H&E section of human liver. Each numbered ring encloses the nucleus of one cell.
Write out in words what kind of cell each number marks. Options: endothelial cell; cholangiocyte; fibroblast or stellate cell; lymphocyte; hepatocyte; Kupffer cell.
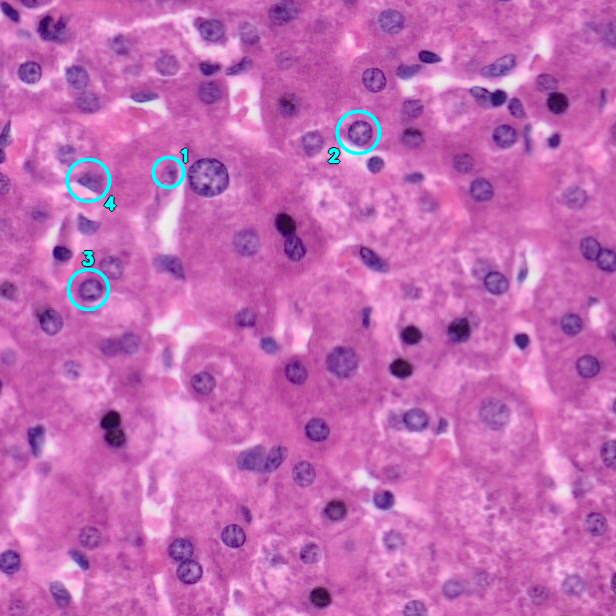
Cell 1 is a Kupffer cell. Cells 2 and 3 are hepatocytes. Cell 4 is an endothelial cell.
